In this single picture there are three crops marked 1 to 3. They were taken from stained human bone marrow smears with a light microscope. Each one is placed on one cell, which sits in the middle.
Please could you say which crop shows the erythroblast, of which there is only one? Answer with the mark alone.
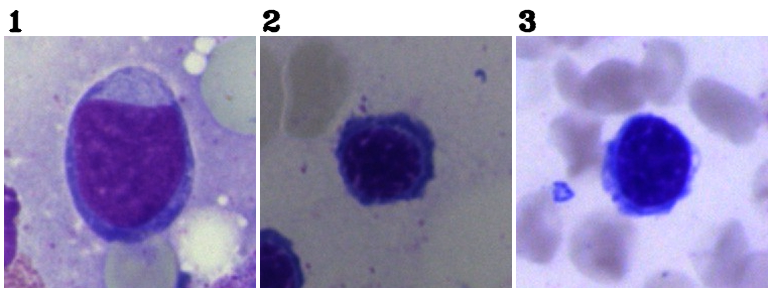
2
